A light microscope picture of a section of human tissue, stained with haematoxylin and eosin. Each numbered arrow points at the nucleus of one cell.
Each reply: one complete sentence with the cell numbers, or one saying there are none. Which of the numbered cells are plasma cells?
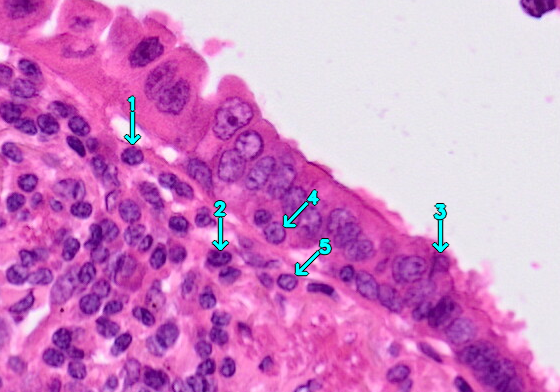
Of all the numbered cells, only cell 2 is a plasma cell.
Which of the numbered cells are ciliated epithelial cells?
The cells numbered 3 and 4 are identified as ciliated epithelial cells.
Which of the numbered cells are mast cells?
Where the numbered cells are concerned, only number 5 is a mast cell.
